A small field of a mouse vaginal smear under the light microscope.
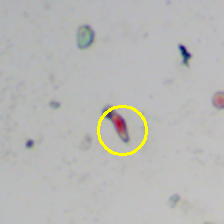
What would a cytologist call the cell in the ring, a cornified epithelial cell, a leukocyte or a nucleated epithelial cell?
A cytologist would call it a nucleated epithelial cell.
